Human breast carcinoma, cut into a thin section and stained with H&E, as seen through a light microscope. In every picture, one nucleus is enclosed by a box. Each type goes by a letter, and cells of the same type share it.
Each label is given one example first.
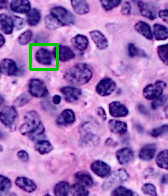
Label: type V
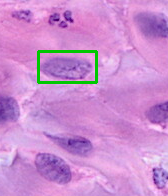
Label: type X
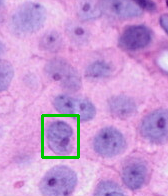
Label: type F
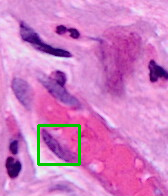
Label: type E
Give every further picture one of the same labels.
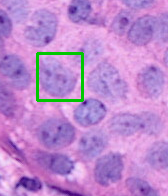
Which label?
type F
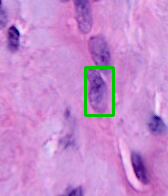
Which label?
type E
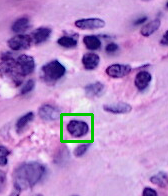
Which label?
type V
